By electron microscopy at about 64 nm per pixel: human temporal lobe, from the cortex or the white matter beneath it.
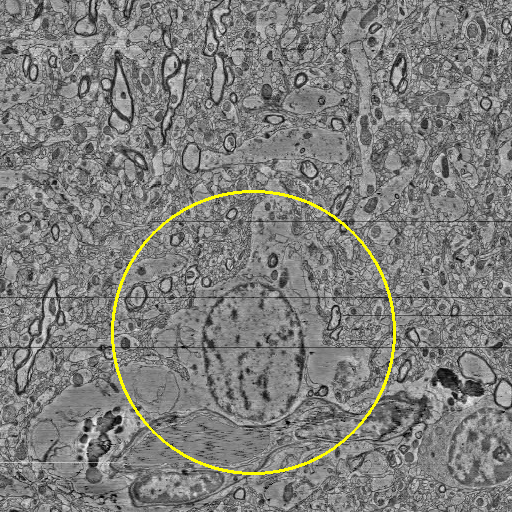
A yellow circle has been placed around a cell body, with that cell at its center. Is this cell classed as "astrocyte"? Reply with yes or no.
Yes, it belongs to that class.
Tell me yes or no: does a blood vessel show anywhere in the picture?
Yes, a vessel shows somewhere in the image.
